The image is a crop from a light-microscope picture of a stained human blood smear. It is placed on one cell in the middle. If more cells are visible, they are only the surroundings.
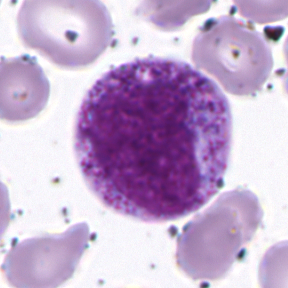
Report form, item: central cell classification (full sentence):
Where the crop is centred, there is a promyelocyte.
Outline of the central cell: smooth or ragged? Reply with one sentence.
Edge check done: smooth outline, no projections present.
